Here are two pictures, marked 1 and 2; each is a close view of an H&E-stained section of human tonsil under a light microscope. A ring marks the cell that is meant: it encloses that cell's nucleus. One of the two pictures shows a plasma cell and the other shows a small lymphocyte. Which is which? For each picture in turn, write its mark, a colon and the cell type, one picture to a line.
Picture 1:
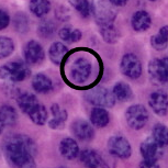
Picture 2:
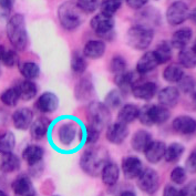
1: plasma cell
2: small lymphocyte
